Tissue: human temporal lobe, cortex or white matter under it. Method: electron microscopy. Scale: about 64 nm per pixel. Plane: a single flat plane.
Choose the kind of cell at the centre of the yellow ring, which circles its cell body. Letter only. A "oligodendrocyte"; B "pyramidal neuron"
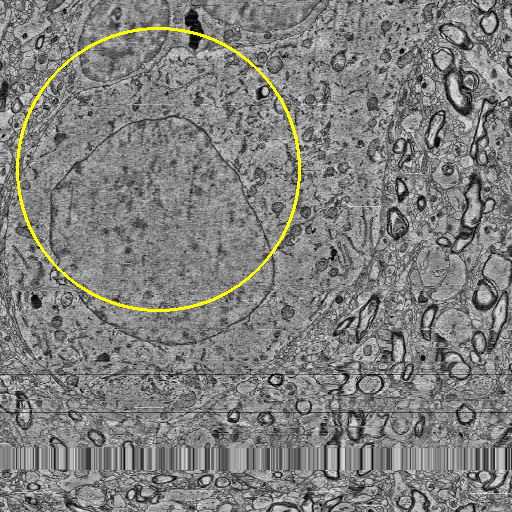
B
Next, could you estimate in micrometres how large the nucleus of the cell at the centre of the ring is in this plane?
Roughly 15 micrometres across for the nucleus, in this plane.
